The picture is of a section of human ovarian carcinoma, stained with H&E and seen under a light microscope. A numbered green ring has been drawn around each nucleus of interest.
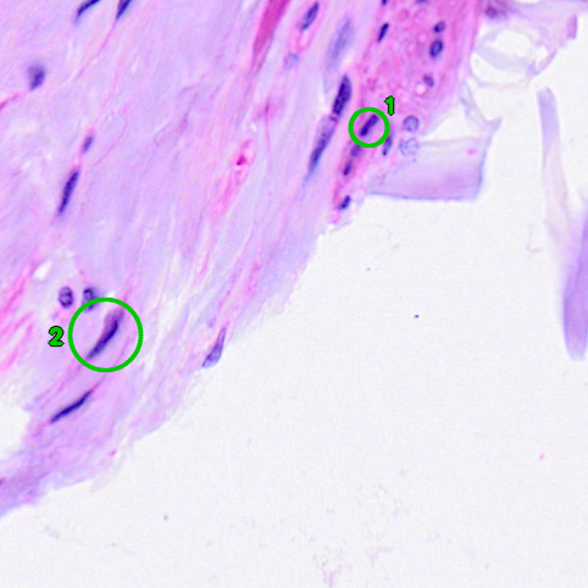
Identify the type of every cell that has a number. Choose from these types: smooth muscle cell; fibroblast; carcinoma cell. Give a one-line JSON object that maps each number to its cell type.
{"1": "smooth muscle cell", "2": "fibroblast"}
